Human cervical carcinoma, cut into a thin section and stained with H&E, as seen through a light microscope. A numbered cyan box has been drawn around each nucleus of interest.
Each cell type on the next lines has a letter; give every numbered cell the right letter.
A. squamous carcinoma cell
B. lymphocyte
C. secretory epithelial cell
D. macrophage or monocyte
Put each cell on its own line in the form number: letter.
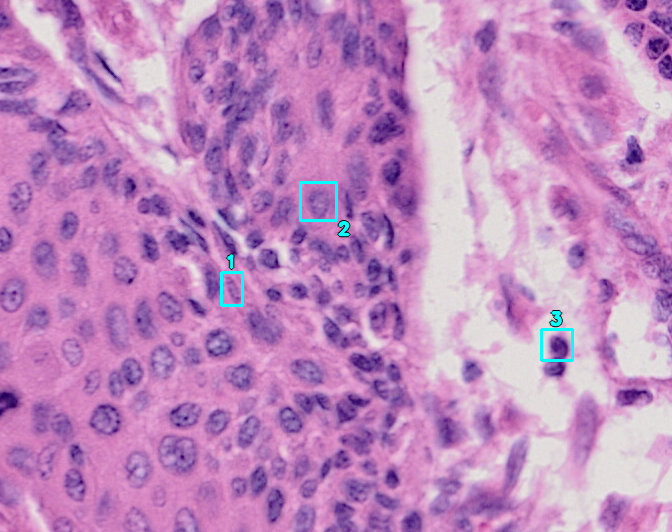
1: A
2: A
3: B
